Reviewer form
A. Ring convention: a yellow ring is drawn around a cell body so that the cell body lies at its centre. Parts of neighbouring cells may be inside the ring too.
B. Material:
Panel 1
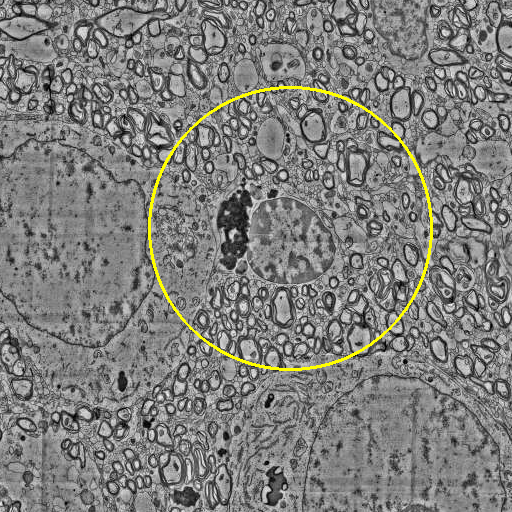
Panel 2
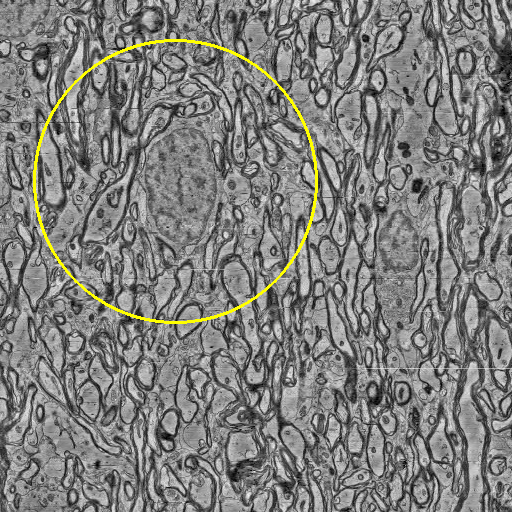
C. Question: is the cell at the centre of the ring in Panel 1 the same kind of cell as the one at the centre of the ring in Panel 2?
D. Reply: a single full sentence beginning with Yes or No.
No, the cells in Panel 1 and Panel 2 are two kinds of cell.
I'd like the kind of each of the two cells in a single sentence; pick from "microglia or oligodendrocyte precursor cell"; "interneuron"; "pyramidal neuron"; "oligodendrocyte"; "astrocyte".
The first ring marks a microglial cell or oligodendrocyte precursor cell, and the second ring marks an oligodendrocyte.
